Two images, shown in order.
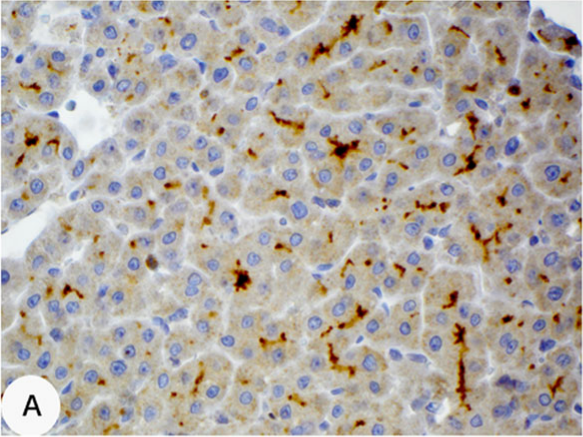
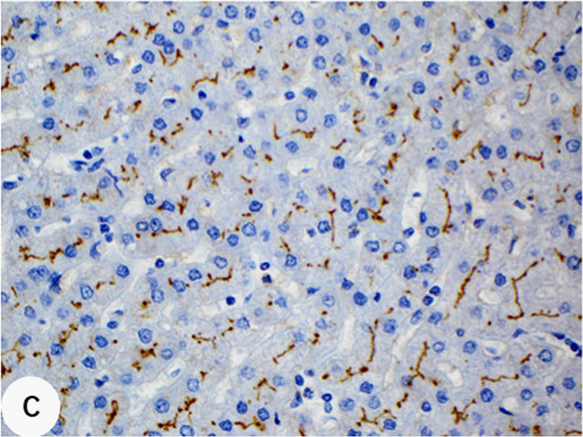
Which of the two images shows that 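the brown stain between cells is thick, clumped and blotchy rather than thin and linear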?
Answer: The first image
